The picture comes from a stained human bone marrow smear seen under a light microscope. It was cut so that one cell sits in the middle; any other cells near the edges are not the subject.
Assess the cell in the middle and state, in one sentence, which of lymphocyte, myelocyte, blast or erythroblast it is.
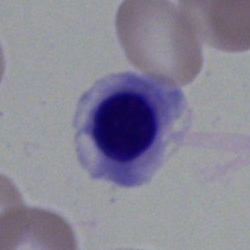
The middle position in this crop is taken by an erythroblast.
